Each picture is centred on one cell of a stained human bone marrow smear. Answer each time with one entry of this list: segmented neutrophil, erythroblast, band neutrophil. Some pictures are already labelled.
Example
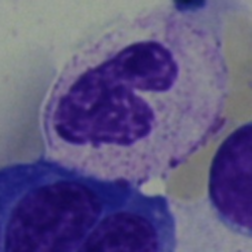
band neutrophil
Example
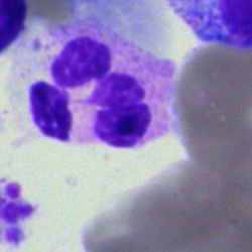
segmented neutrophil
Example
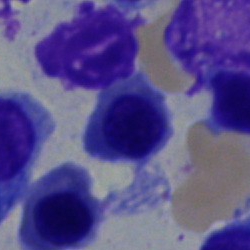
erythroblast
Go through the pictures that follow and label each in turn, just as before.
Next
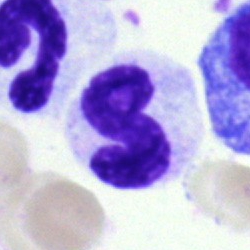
band neutrophil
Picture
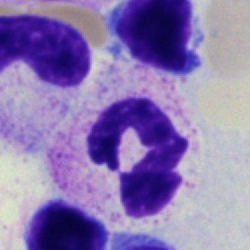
segmented neutrophil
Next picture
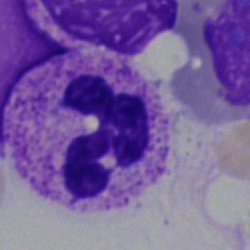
segmented neutrophil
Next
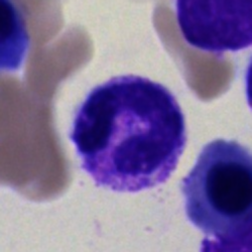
segmented neutrophil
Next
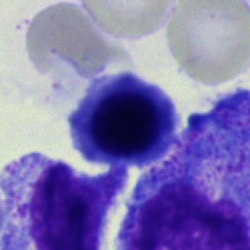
erythroblast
